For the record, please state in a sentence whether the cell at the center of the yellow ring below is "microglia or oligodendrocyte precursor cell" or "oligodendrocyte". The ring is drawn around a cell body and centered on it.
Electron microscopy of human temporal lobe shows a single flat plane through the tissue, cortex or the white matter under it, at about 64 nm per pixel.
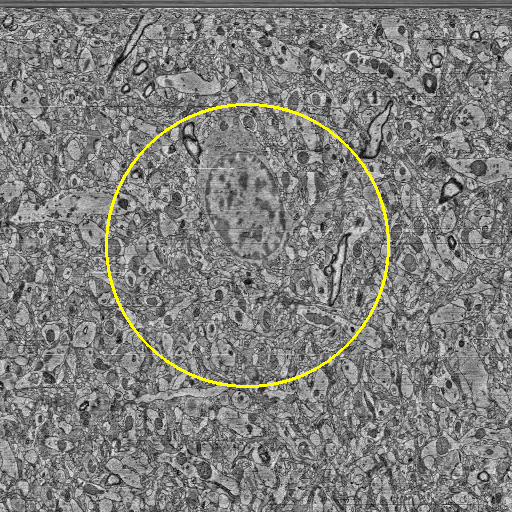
The cell at the ring's center is an oligodendrocyte.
